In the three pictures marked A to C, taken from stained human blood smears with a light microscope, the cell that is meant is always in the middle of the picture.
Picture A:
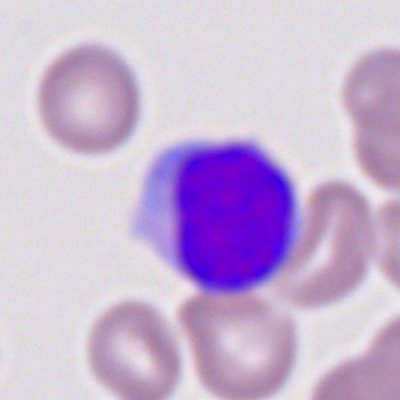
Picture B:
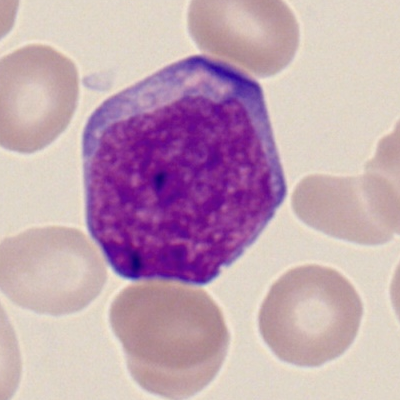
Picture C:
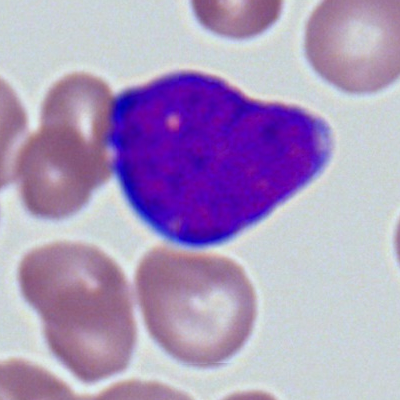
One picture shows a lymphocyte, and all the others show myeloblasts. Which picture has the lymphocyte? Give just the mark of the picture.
A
